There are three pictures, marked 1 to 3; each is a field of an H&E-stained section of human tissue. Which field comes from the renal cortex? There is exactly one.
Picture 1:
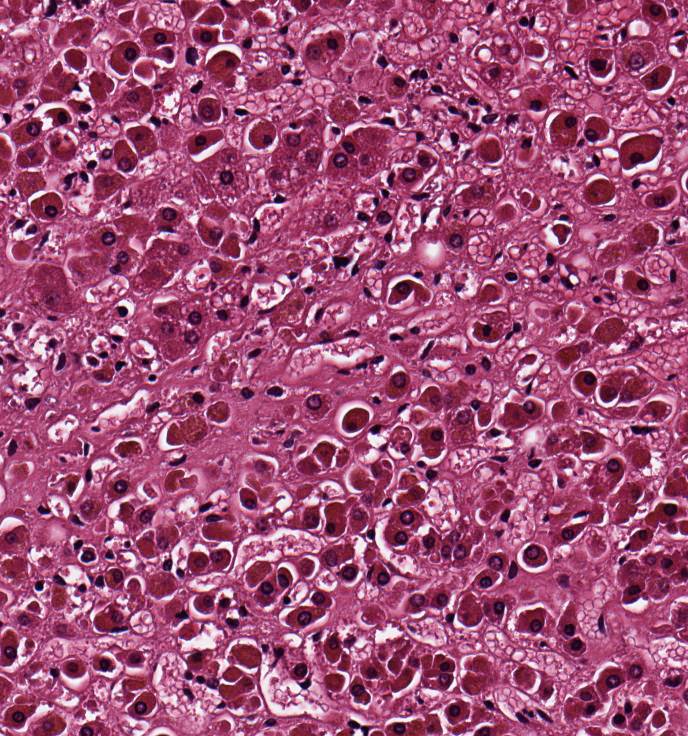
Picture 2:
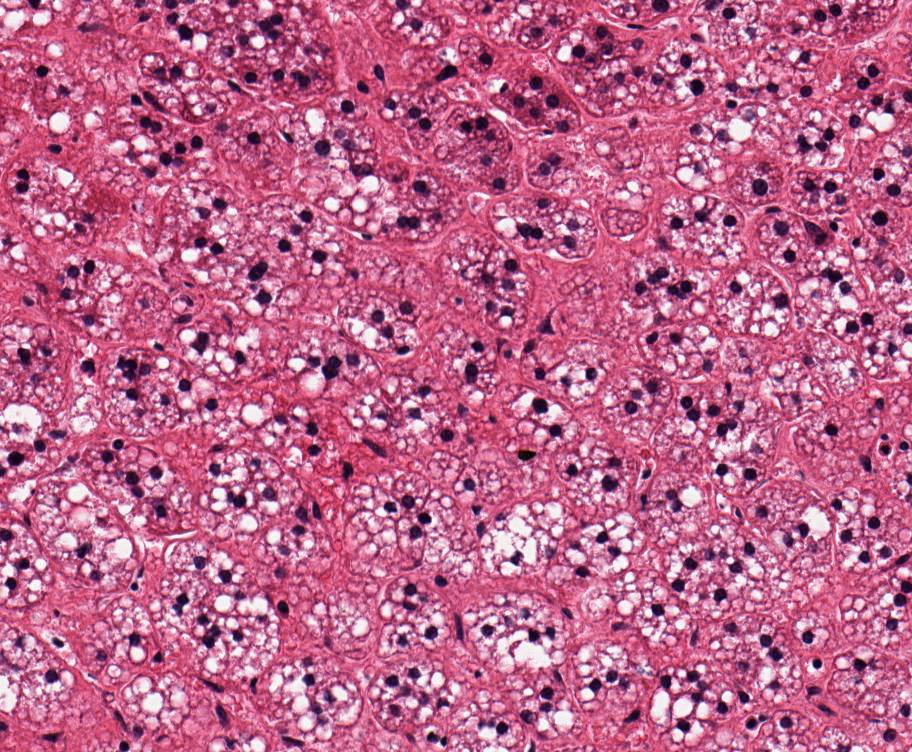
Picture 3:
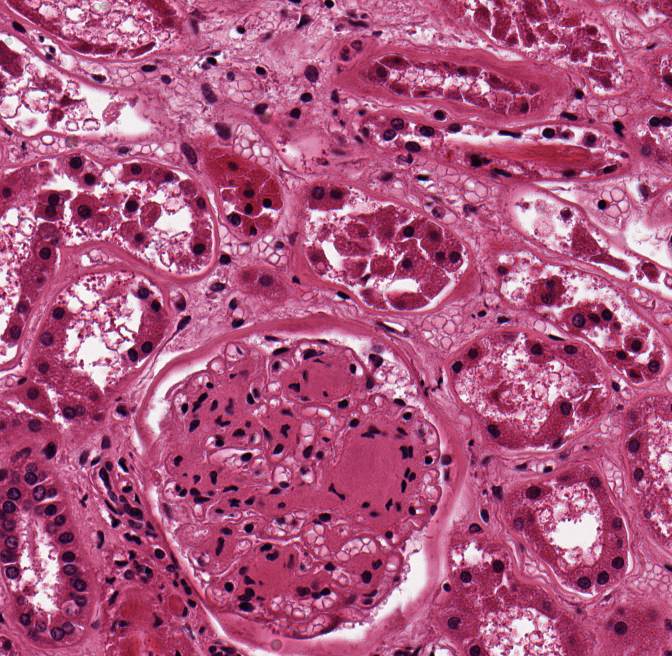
3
